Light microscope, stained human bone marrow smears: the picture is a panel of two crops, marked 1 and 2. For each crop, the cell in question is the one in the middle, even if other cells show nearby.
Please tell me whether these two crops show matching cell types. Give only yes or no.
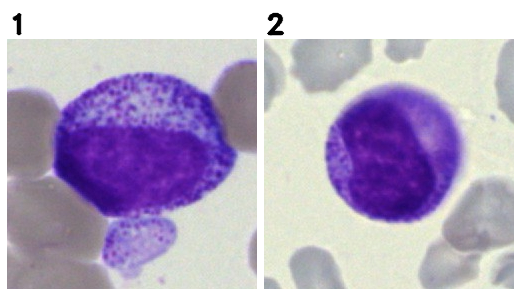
yes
